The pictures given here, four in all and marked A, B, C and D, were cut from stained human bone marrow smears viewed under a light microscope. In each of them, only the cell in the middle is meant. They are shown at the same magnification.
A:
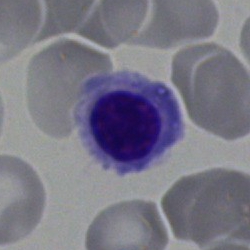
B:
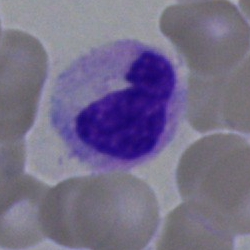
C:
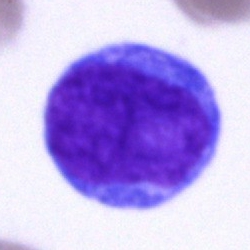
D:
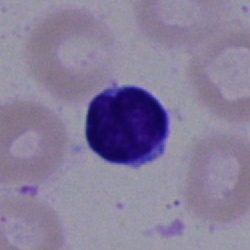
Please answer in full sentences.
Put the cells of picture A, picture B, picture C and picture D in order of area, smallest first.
Smallest first: D, A, B, C.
